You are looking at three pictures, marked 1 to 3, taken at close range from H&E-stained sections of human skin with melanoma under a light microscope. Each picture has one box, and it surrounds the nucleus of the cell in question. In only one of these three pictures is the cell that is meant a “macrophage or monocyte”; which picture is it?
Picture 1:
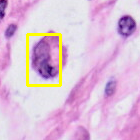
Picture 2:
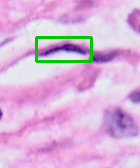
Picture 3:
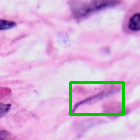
1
